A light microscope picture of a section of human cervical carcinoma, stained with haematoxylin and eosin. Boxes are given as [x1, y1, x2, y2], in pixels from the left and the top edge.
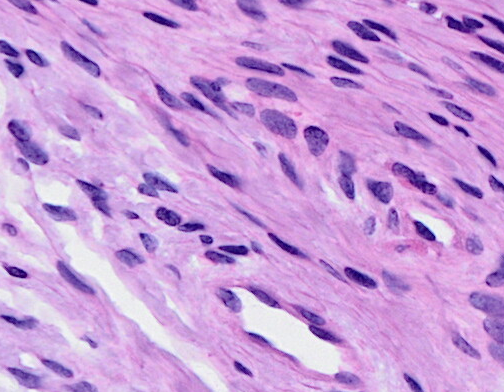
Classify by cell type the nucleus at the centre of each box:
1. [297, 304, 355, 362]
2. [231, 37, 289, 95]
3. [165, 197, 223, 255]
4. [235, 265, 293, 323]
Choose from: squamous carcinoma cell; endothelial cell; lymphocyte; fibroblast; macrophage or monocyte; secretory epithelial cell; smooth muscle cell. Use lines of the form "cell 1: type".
cell 1: endothelial cell
cell 2: fibroblast
cell 3: fibroblast
cell 4: endothelial cell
